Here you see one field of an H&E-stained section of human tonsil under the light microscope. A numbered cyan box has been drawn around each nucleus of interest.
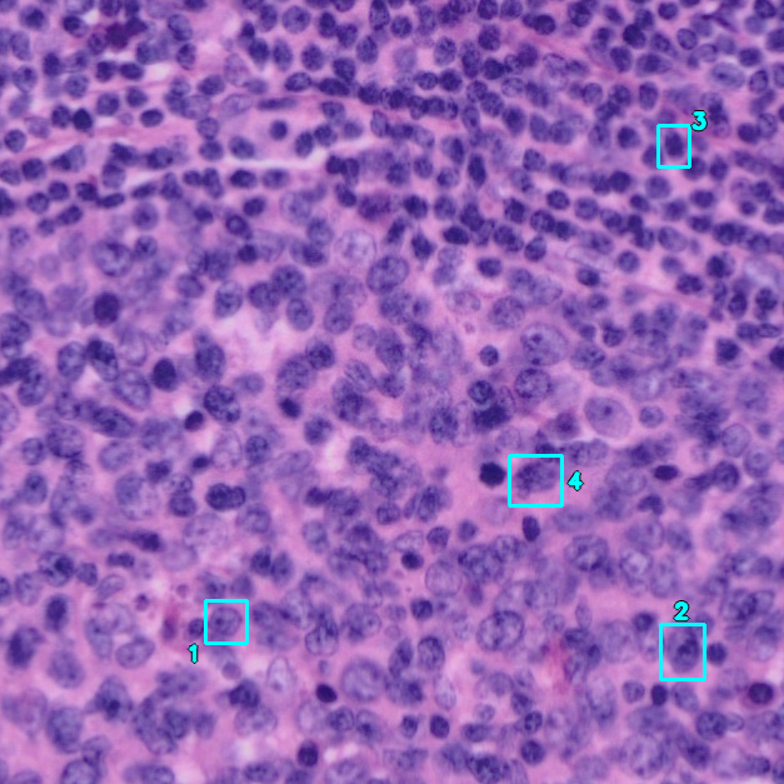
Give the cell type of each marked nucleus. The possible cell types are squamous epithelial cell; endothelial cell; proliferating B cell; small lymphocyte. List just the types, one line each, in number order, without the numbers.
proliferating B cell
proliferating B cell
small lymphocyte
proliferating B cell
